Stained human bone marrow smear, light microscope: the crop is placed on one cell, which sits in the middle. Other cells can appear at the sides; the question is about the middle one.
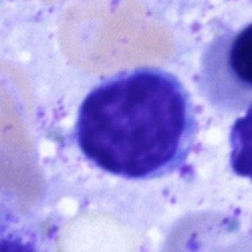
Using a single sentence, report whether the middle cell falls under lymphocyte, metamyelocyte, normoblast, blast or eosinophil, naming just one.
Centred in the crop is a lymphocyte.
